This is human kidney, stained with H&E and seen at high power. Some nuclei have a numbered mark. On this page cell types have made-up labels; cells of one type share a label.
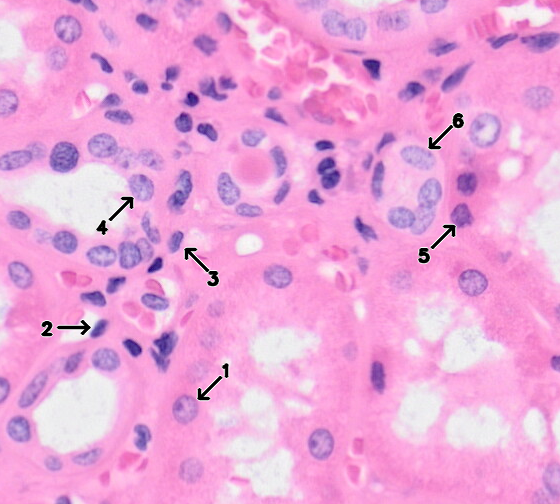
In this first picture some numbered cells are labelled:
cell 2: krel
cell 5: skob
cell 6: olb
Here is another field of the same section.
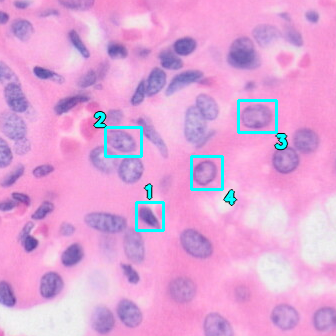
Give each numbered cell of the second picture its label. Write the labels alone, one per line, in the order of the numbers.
krel
olb
skob
skob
